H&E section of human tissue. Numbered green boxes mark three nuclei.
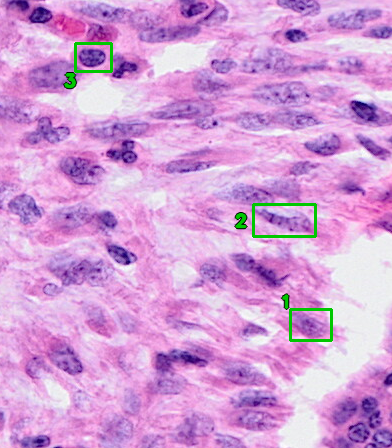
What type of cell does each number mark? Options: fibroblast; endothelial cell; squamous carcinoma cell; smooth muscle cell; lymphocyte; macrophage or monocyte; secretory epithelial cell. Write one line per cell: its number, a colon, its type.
1: fibroblast
2: fibroblast
3: lymphocyte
